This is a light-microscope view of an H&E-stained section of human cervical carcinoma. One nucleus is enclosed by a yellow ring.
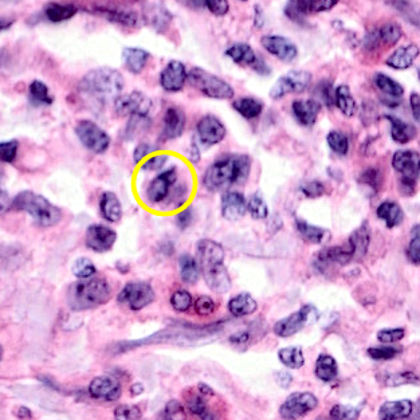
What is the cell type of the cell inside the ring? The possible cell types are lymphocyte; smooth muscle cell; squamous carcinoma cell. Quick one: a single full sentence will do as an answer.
Typologically, the cell inside the ring is a lymphocyte in this section.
